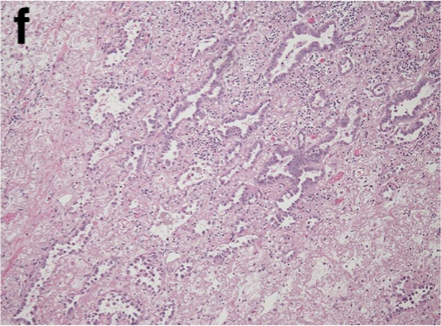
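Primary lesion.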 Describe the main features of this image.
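This is a tumor section stained with hematoxylin and eosin, showing tumor cells arranged in gland-like structures. Irregular, elongated and branching spaces are lined by cells with purple nuclei. Scattered cells also lie within the spaces and in the surrounding stroma. Overall the tissue is less densely cellular than a solid tumor would be.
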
